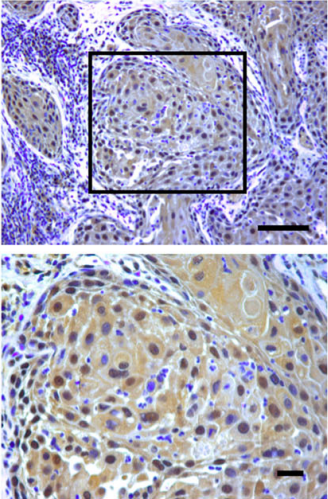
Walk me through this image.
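Nests of tumour cells lie within a cellular stroma, and the boxed nest is enlarged below. The tumour cells are large and polygonal with round to oval nuclei, many of which stain dark brown, and their abundant cytoplasm is tinged light brown. Smaller blue-stained stromal cells lie between the nests.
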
